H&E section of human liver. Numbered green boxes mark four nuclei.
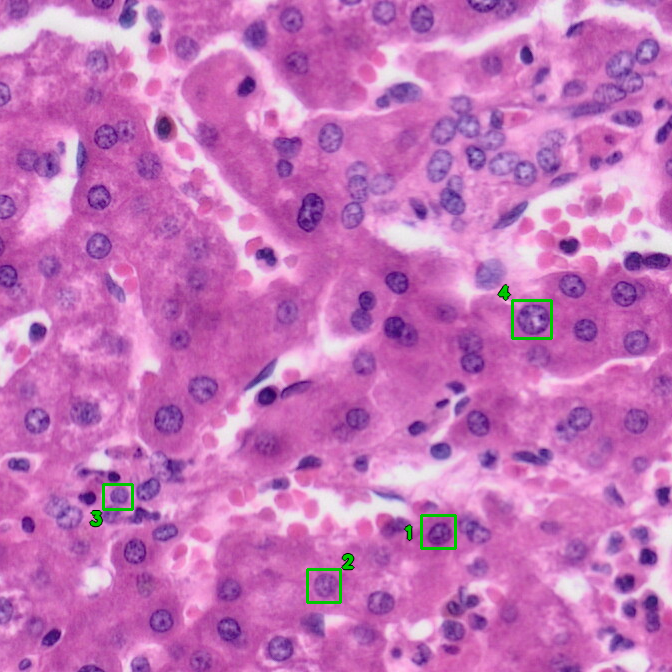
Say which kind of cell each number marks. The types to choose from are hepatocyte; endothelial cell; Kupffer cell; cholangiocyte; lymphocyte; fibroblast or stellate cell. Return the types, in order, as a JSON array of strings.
["hepatocyte", "hepatocyte", "cholangiocyte", "hepatocyte"]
